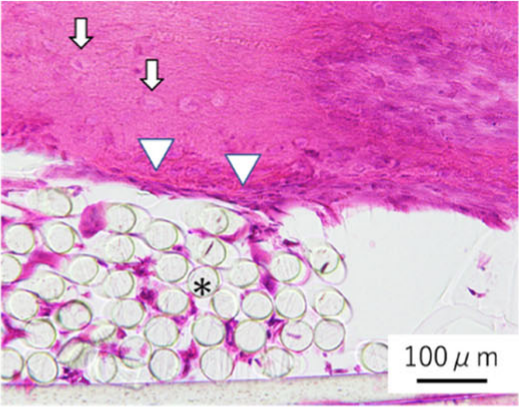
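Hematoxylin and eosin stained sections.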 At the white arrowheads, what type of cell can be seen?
osteoblasts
